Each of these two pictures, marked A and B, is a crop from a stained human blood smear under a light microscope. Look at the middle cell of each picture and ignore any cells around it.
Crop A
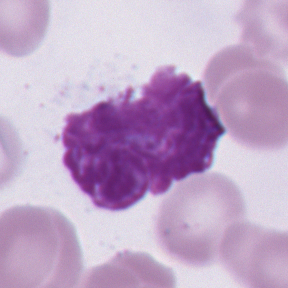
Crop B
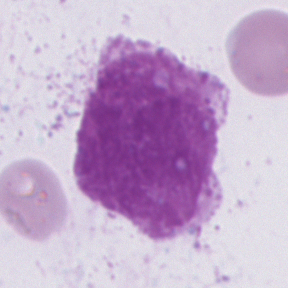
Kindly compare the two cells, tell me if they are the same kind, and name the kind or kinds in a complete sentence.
Yes, the crops both have smudge cells in the middle.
